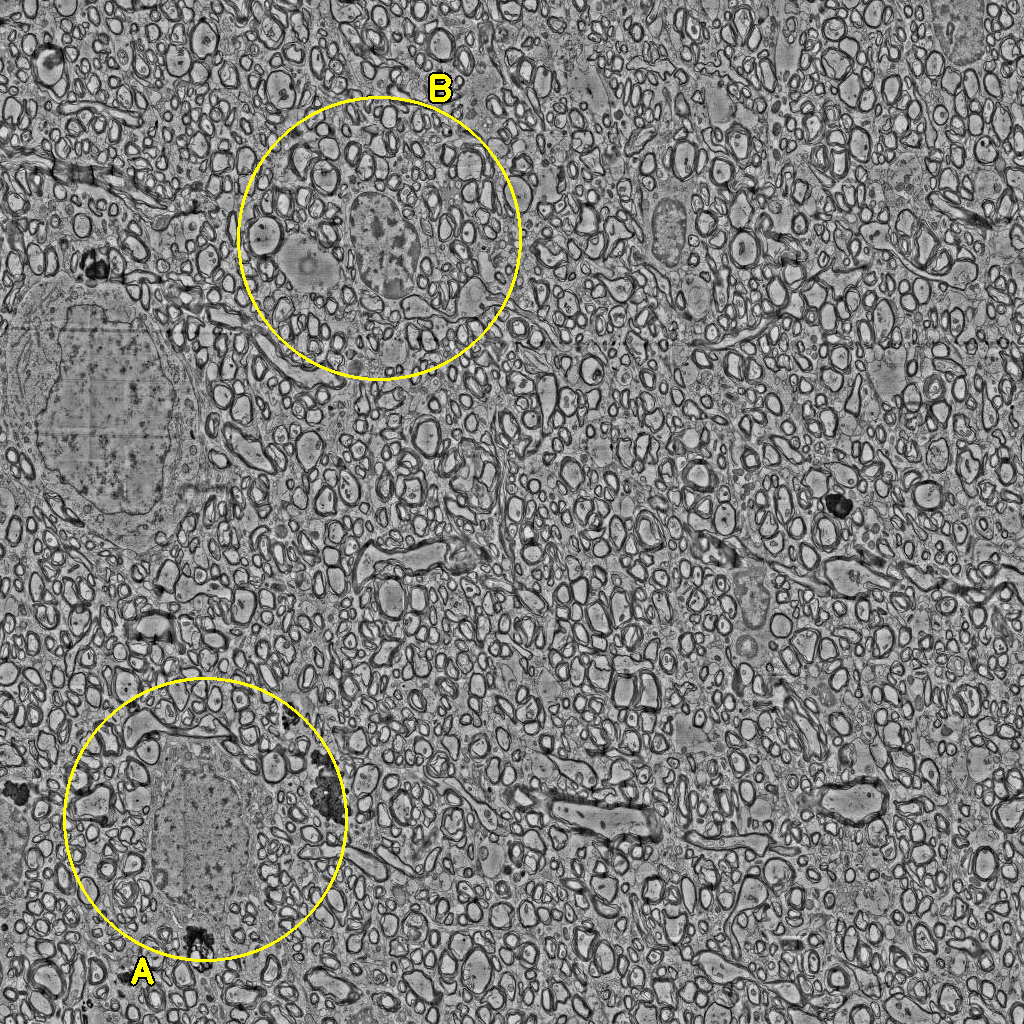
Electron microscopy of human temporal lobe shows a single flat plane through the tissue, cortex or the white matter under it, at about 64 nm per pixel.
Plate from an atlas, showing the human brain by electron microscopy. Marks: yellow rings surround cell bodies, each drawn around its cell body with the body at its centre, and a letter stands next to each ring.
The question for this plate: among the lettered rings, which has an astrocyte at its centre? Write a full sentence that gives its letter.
Ring A holds at its centre the cell that the question asks about in the picture.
